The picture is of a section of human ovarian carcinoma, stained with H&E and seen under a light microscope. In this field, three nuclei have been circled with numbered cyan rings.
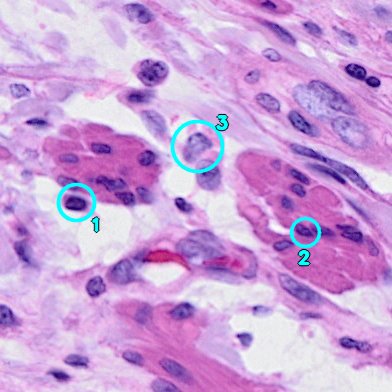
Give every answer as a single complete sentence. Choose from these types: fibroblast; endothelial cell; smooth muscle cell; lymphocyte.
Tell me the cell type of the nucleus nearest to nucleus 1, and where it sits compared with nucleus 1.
The closest nucleus belongs to a smooth muscle cell and sits above nucleus 1.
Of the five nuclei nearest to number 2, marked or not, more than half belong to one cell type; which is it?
Most of the five nuclei nearest to number 2 are those of smooth muscle cells.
